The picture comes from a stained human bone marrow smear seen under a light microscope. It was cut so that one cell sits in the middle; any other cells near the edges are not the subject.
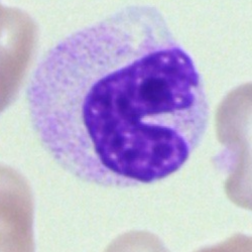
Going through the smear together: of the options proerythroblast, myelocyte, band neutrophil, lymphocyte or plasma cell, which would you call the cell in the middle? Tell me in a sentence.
Present in the middle of the crop is a band neutrophil.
